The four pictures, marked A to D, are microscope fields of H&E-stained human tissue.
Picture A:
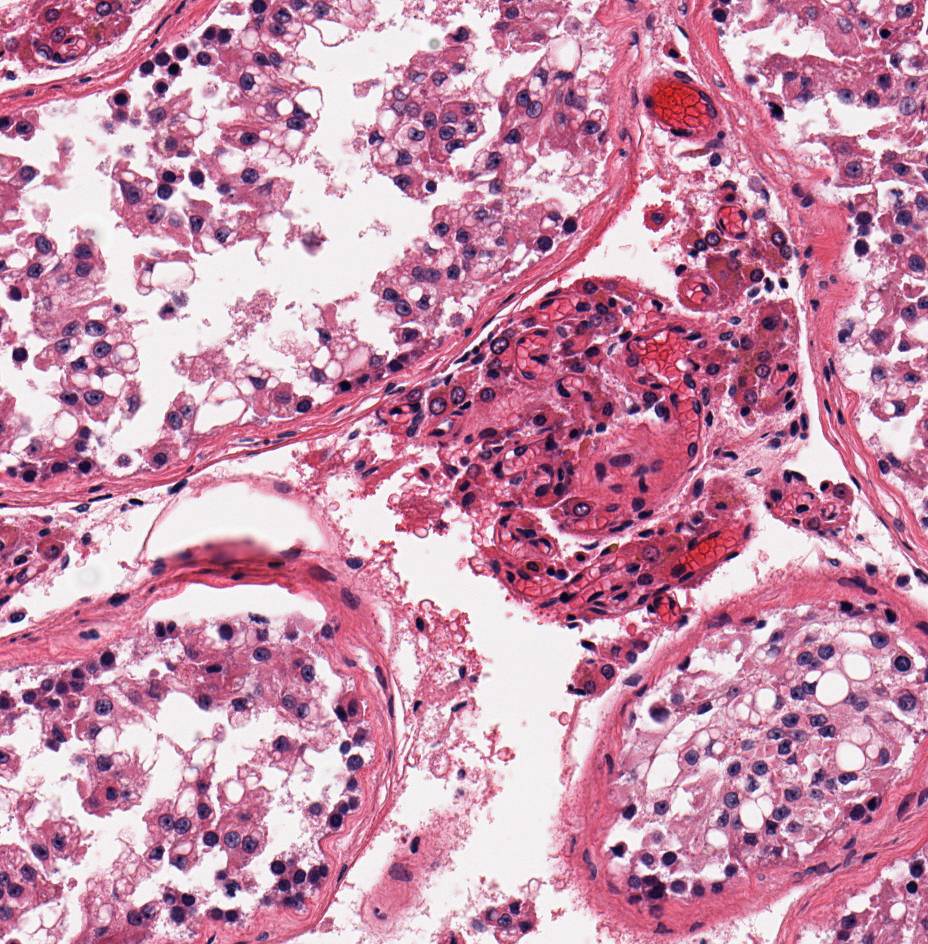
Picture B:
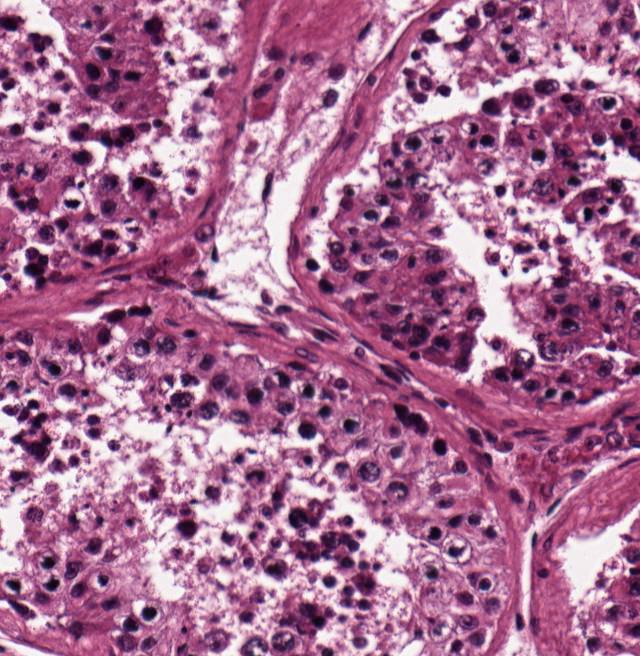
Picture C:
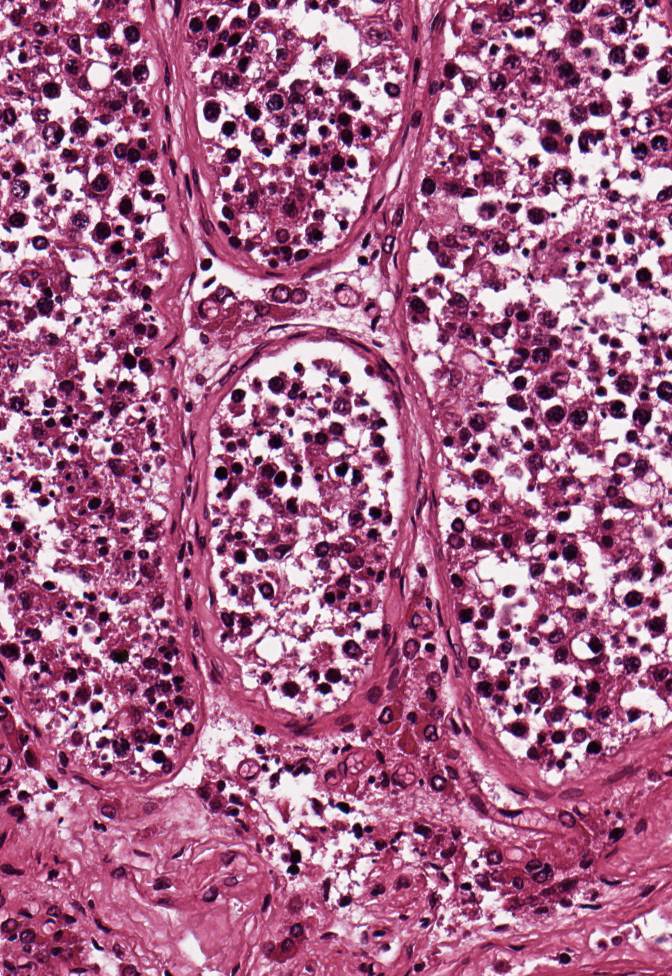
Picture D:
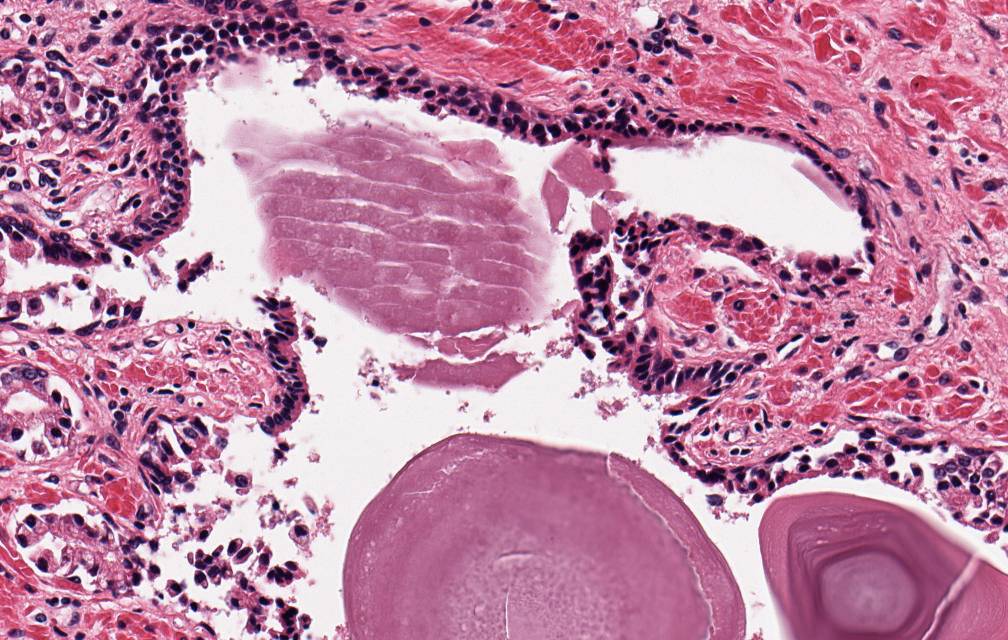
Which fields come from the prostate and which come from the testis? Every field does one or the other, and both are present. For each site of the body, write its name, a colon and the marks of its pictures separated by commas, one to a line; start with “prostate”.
prostate: D
testis: A, B, C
